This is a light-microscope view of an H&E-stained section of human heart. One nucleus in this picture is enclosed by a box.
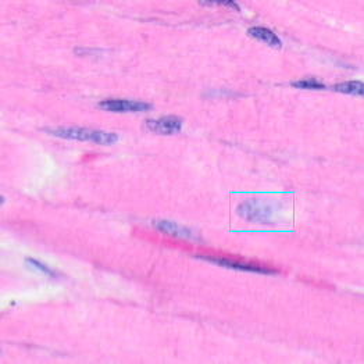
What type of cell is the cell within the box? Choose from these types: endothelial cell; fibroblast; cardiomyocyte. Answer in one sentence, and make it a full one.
The category to which the cell within the box belongs is that of a cardiomyocyte.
